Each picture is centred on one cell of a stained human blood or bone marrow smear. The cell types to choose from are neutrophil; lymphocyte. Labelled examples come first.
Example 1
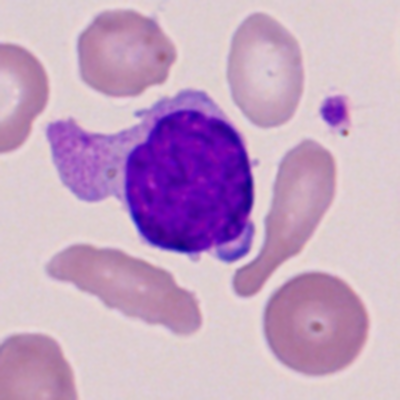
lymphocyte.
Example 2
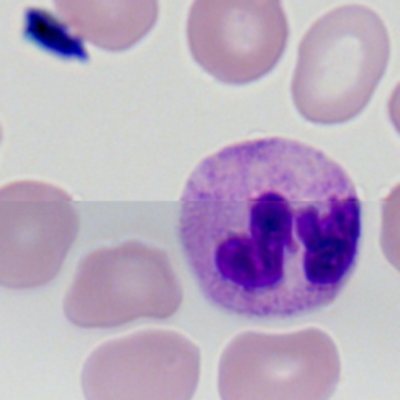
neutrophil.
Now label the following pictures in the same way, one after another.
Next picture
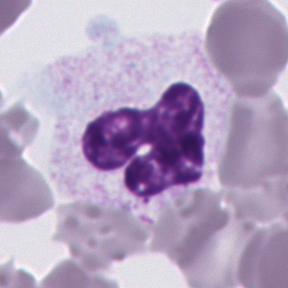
neutrophil.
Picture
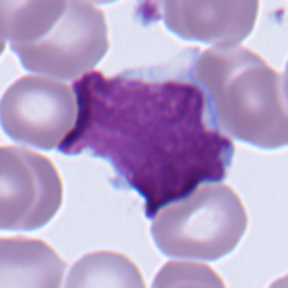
lymphocyte.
